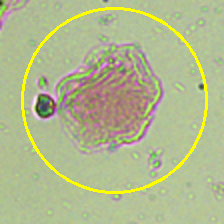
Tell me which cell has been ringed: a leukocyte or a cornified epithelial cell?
It is a cornified epithelial cell.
